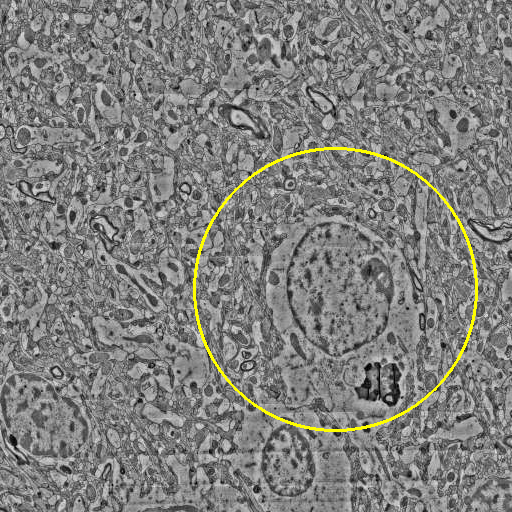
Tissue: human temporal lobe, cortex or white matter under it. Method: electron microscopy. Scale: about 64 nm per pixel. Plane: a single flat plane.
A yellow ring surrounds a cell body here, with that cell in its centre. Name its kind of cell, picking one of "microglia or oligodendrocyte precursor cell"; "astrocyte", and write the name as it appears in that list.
astrocyte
